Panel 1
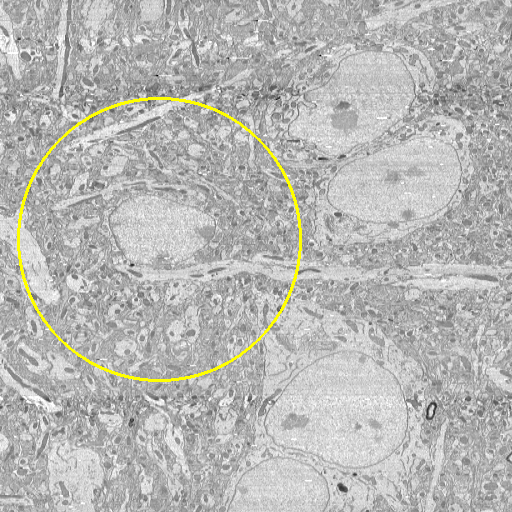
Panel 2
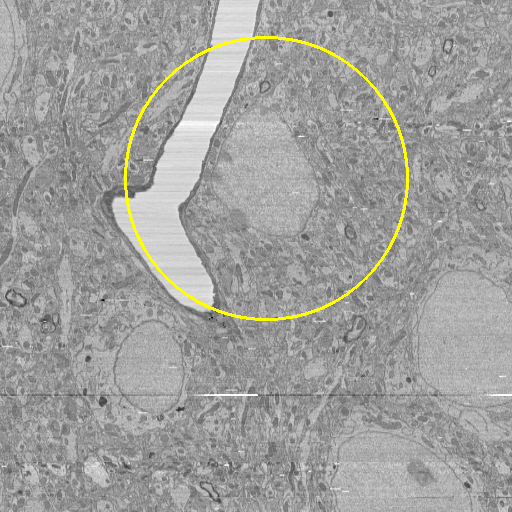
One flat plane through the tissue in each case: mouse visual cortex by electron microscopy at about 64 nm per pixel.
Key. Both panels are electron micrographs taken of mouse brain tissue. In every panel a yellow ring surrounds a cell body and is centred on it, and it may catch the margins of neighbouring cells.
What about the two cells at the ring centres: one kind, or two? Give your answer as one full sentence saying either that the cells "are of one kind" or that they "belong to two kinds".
Across Panels 1 and 2, the two cells at the ring centres are of one kind.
